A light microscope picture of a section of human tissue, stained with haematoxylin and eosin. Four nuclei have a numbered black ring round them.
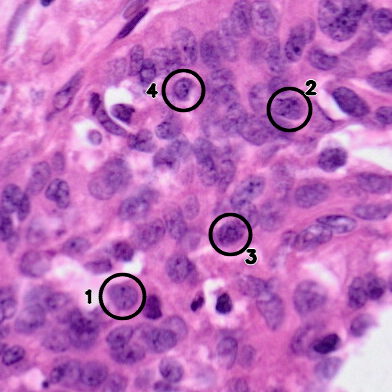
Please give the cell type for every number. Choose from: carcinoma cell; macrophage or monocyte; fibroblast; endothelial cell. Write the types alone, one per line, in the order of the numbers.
carcinoma cell
macrophage or monocyte
carcinoma cell
macrophage or monocyte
